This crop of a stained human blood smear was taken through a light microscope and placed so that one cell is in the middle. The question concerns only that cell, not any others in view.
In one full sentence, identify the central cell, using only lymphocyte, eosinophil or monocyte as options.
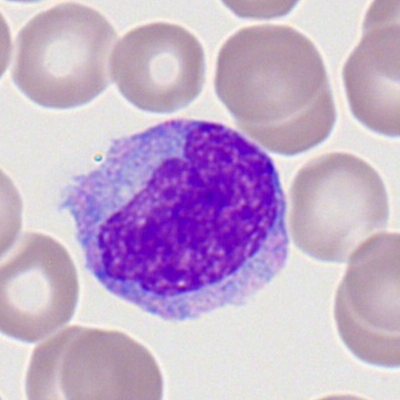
Regarding the central cell, it is a monocyte.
